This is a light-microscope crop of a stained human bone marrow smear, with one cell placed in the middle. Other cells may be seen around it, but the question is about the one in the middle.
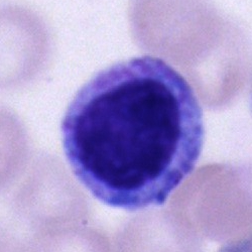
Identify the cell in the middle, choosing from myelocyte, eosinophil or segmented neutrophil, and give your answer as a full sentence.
The cell centred in this crop is categorized as a myelocyte.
